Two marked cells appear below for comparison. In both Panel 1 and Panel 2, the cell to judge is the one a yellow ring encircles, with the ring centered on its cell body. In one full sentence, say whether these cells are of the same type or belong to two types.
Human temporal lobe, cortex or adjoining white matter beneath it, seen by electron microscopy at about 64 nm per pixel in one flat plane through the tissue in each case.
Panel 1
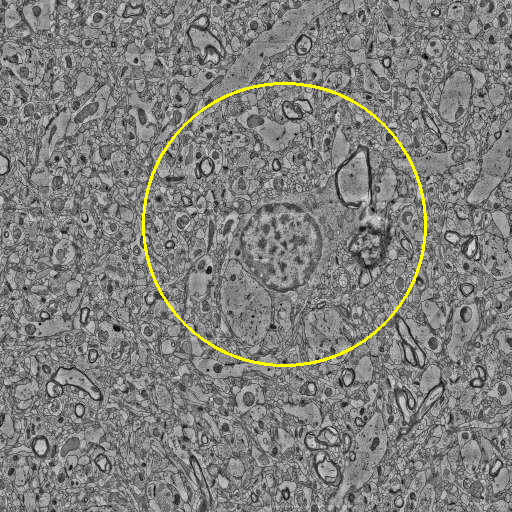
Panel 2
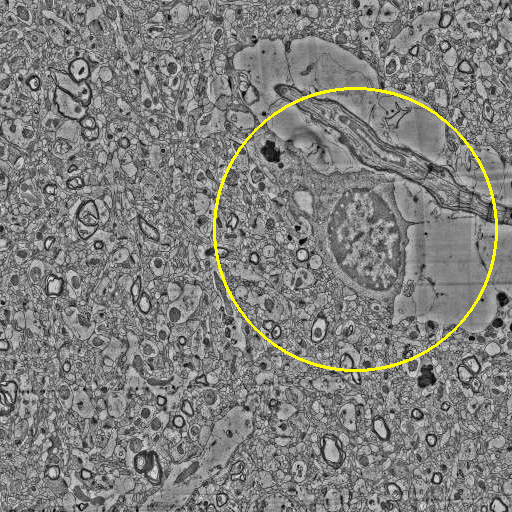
The cell centered in the Panel 1 ring and the one in Panel 2 are of the same type.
